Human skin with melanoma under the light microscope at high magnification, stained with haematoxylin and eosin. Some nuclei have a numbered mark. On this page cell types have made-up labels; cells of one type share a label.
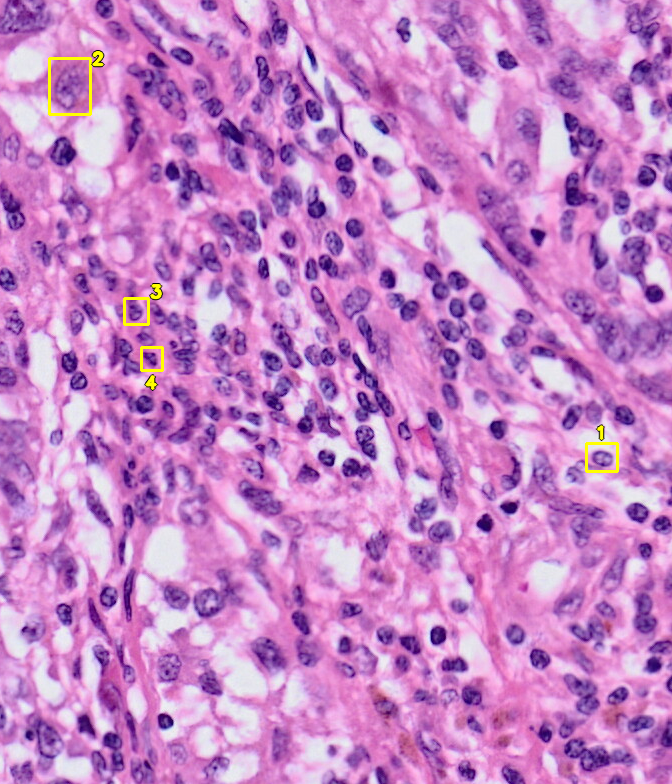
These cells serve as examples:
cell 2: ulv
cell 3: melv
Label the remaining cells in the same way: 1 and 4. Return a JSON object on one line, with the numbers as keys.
{"1": "melv", "4": "melv"}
